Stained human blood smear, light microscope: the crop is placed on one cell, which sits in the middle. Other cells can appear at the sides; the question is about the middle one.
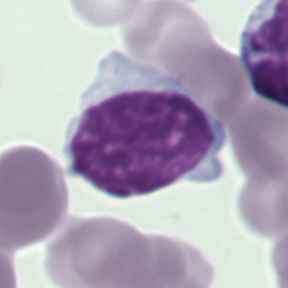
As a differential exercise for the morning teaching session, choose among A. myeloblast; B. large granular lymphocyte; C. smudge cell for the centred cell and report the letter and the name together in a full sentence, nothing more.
Option B correctly names the cell in the middle as a large granular lymphocyte.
